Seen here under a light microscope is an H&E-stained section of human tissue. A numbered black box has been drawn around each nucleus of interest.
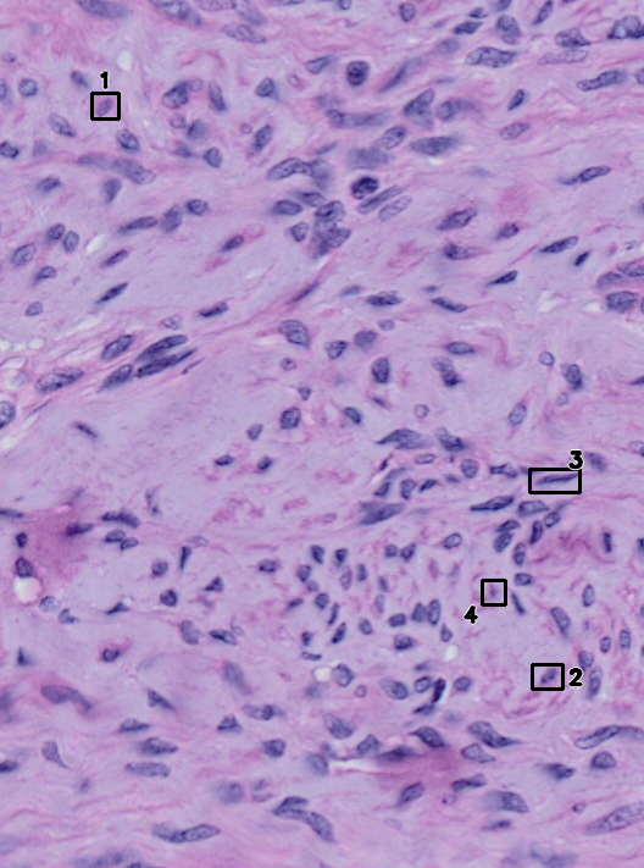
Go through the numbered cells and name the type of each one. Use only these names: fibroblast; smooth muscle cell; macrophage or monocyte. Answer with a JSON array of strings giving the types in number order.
["smooth muscle cell", "smooth muscle cell", "fibroblast", "smooth muscle cell"]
